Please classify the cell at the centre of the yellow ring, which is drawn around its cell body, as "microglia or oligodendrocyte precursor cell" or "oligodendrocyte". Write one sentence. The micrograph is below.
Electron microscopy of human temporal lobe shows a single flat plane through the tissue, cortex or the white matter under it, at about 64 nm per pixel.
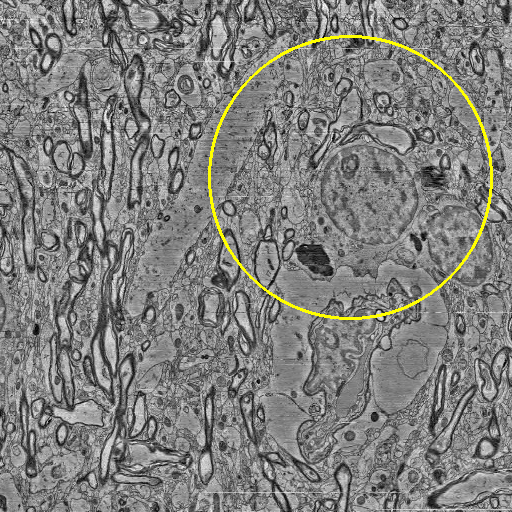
The cell at the ring's centre is classified as an oligodendrocyte.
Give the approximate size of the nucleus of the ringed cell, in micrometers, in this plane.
In this plane, roughly 7 micrometres across.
